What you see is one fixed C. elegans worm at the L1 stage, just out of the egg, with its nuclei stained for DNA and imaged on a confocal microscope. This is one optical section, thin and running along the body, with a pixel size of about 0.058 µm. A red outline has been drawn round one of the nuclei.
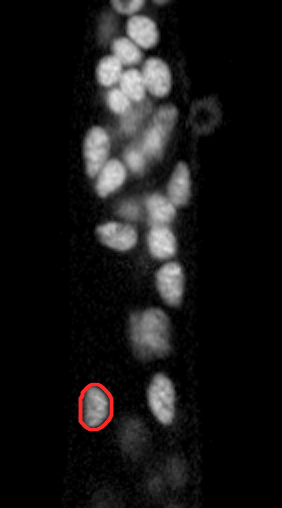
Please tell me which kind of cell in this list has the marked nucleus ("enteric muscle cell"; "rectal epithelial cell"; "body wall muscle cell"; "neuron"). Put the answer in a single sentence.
It is the nucleus of a body wall muscle cell.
